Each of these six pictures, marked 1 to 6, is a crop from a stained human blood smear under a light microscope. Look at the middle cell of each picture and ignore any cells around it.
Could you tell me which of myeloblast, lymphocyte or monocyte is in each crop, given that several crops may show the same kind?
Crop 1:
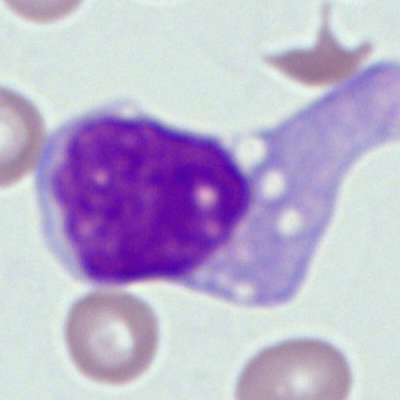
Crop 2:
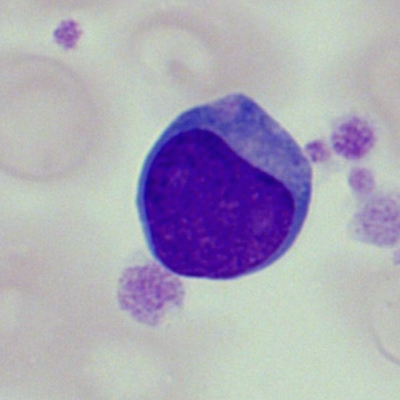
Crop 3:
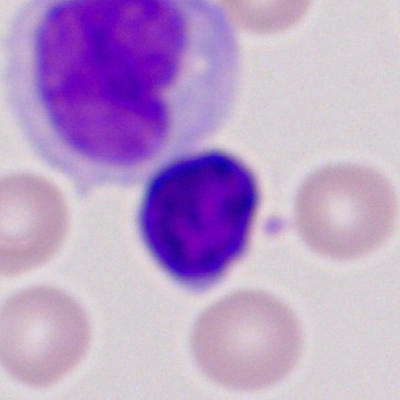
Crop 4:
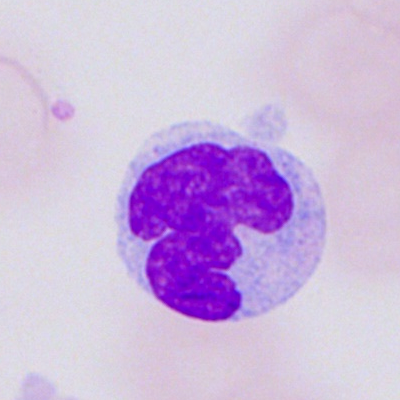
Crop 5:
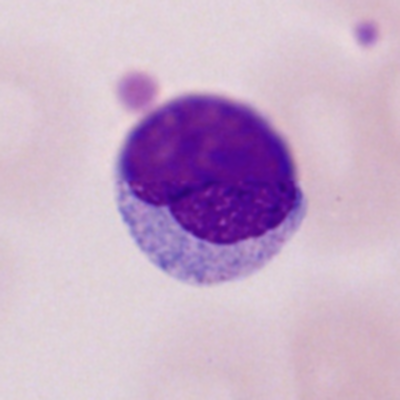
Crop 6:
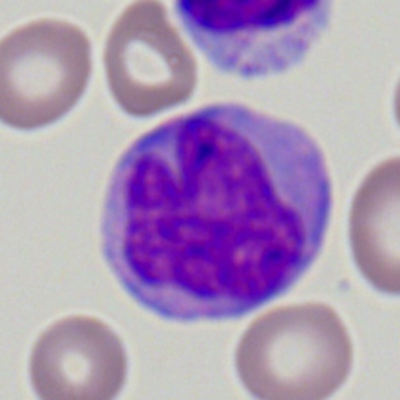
1: monocyte
2: myeloblast
3: lymphocyte
4: monocyte
5: lymphocyte
6: monocyte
